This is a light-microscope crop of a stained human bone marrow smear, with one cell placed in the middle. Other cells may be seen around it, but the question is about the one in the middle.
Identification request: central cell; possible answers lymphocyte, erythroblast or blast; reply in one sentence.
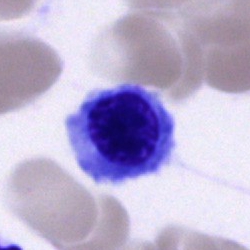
Whatever else lies nearby, the middle cell is an erythroblast.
